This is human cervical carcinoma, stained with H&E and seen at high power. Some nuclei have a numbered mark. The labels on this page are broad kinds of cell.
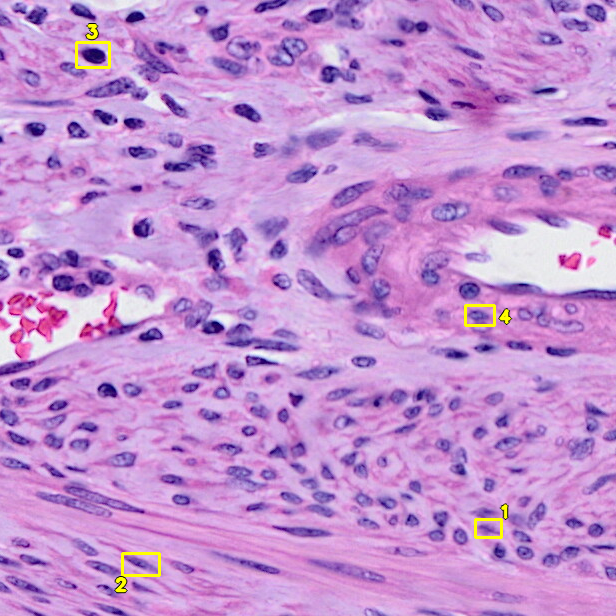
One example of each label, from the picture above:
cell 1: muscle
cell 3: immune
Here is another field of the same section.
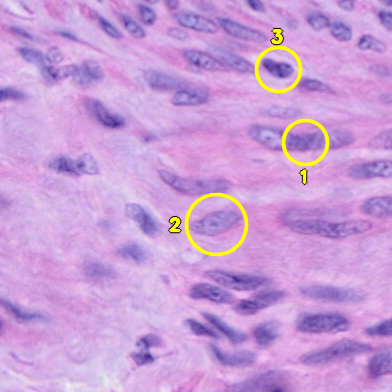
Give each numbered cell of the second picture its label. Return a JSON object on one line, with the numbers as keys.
{"1": "muscle", "2": "muscle", "3": "immune"}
